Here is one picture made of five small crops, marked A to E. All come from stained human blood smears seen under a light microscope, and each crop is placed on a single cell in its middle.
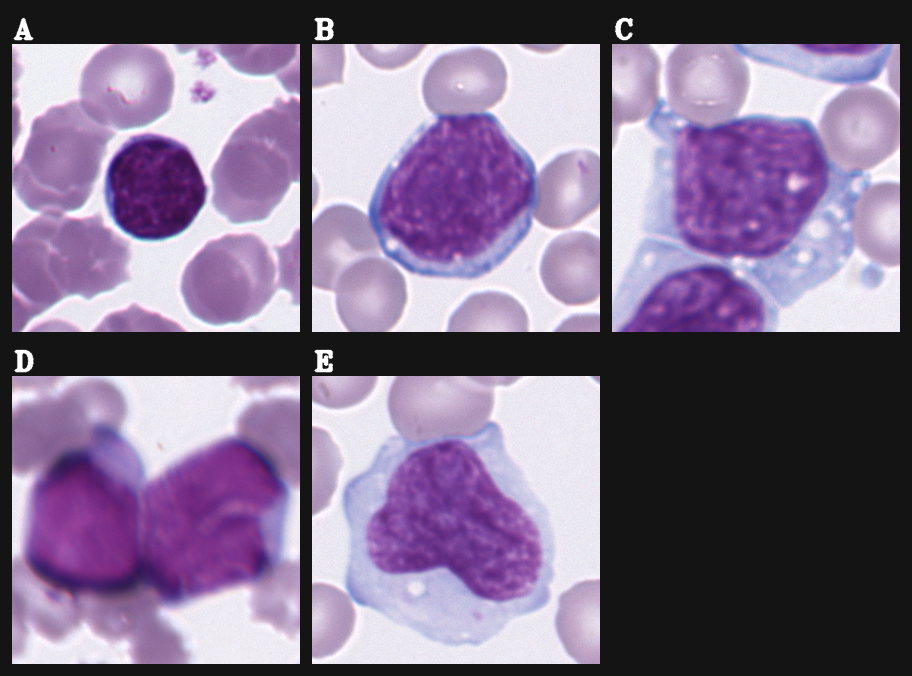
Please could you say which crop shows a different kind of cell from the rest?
A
